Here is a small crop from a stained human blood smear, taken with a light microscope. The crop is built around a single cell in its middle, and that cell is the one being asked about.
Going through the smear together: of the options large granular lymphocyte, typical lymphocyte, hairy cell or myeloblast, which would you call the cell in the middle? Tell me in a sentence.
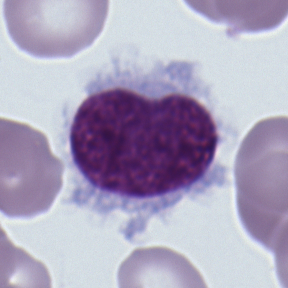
To answer, the cell in the center of the crop is a hairy cell.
